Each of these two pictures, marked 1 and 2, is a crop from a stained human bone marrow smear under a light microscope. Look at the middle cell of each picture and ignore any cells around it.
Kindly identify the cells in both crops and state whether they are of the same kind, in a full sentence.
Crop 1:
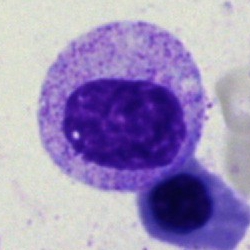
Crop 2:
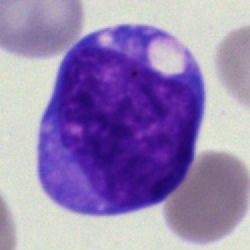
No, in crop 1 the cell is a myelocyte, and in crop 2 it is a blast.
